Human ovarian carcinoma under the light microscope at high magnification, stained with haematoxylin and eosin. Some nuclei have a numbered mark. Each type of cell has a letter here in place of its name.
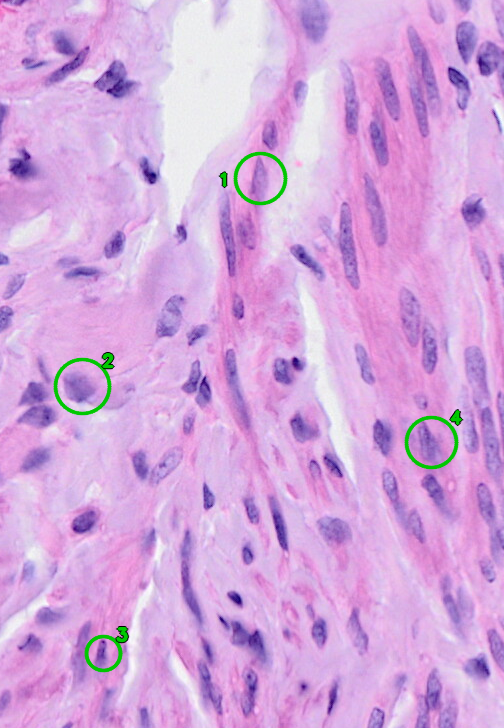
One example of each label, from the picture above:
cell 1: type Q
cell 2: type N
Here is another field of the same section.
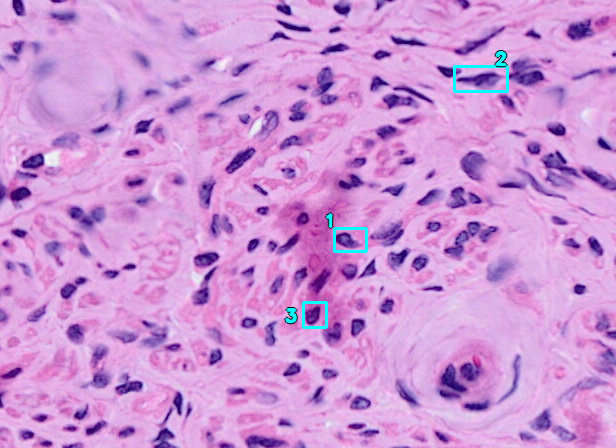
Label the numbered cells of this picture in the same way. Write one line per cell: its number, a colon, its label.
1: type Q
2: type N
3: type Q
